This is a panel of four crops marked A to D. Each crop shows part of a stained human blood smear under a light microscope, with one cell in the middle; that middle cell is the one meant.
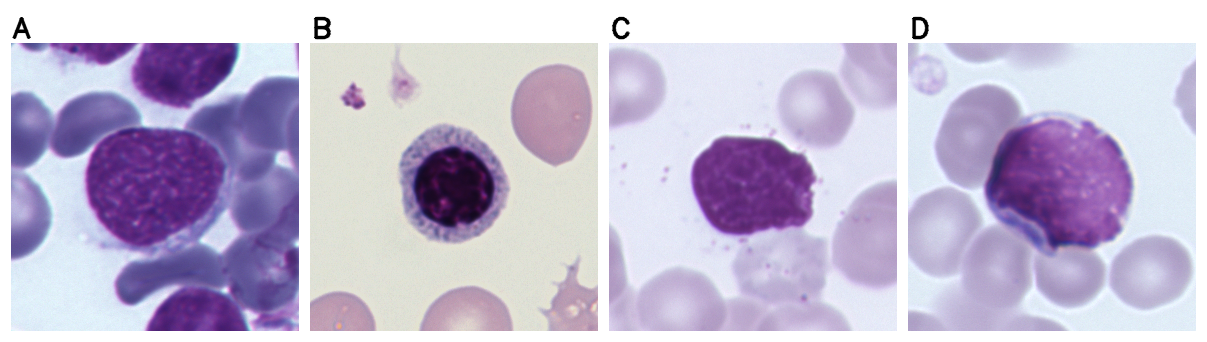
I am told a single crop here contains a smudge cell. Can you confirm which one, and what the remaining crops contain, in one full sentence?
So crop C shows a smudge cell, while crop A is a myeloblast, crop B is a normoblast and crop D is a large granular lymphocyte.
